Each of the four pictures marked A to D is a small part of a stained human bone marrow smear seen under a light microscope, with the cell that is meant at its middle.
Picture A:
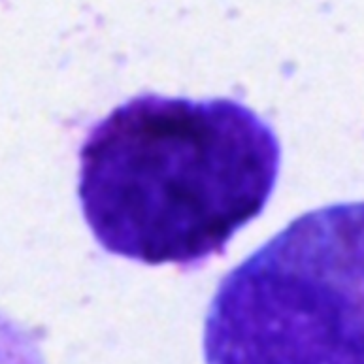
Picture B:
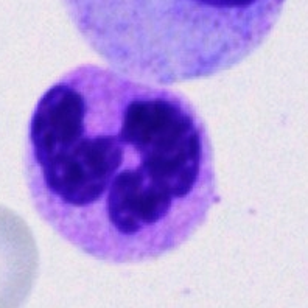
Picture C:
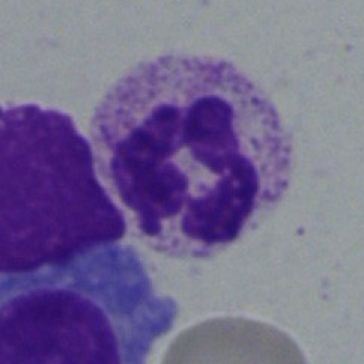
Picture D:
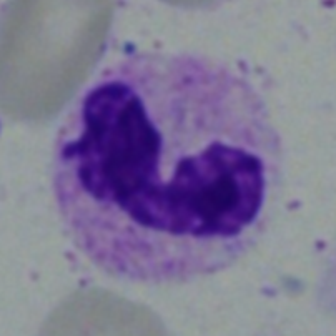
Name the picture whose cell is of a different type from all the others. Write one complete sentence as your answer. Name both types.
All pictures except A show segmented neutrophils; picture A shows a basophil.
